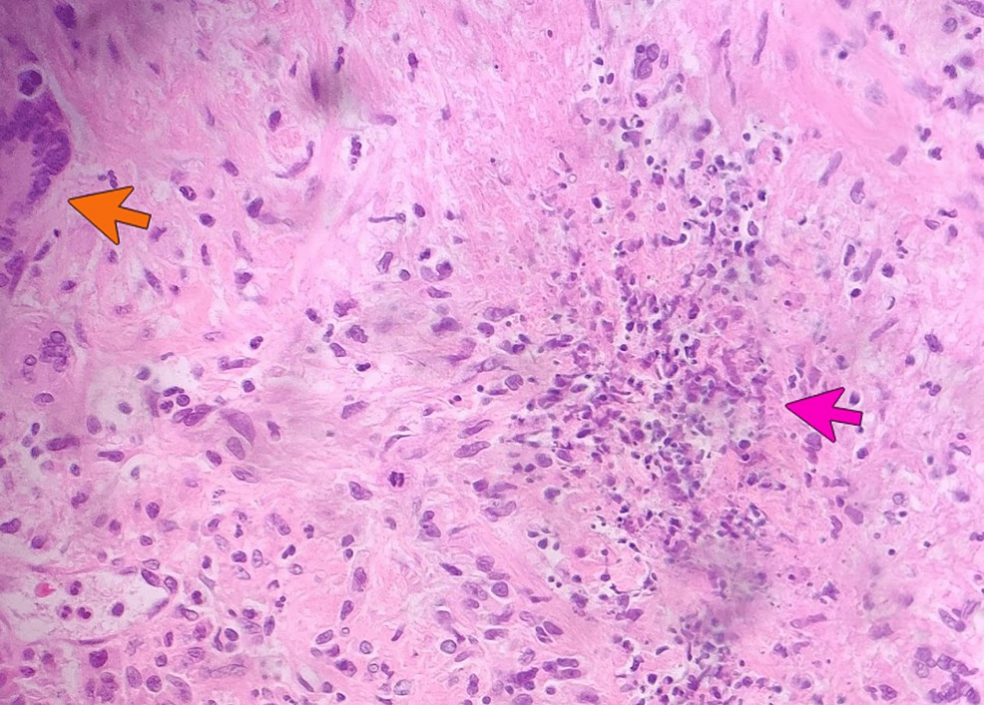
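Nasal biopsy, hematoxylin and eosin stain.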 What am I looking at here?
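Toward the right, small dark nuclei and nuclear fragments crowd densely in a pale, granular, pink area that has lost its intact structure. This looks like necrosis at the center of a granuloma. Around it lie looser cells with oval, pale-staining nuclei, in keeping with epithelioid histiocytes. At the upper left edge, a large cell holds a crowded cluster of many dark nuclei within shared cytoplasm, the look of a multinucleated giant cell.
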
